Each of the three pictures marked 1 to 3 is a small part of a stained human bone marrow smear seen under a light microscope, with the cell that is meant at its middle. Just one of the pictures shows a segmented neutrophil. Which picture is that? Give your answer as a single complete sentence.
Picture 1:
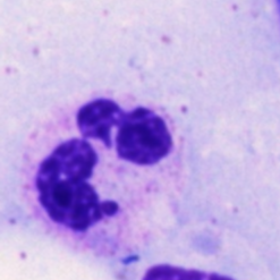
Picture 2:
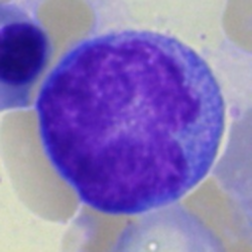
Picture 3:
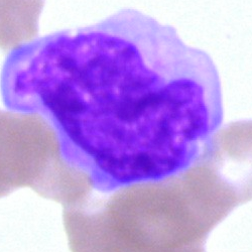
It is picture 1 that shows the segmented neutrophil.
